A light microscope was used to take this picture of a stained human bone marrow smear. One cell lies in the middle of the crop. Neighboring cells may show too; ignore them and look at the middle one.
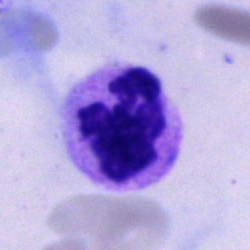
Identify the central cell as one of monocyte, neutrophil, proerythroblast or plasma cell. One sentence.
The middle cell in this particular crop is a neutrophil.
